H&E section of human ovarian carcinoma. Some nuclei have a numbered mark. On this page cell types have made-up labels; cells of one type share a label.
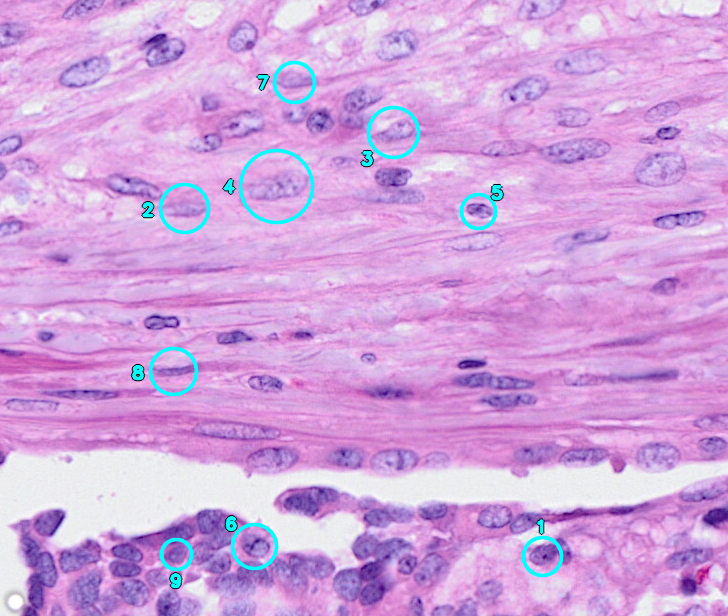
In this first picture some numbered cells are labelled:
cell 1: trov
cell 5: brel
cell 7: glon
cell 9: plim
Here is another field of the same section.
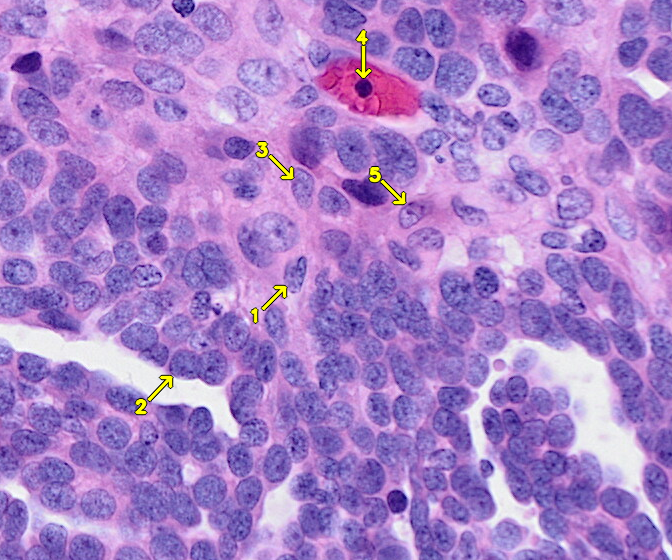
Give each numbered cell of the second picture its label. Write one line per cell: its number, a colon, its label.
1: trov
2: plim
3: plim
4: brel
5: glon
